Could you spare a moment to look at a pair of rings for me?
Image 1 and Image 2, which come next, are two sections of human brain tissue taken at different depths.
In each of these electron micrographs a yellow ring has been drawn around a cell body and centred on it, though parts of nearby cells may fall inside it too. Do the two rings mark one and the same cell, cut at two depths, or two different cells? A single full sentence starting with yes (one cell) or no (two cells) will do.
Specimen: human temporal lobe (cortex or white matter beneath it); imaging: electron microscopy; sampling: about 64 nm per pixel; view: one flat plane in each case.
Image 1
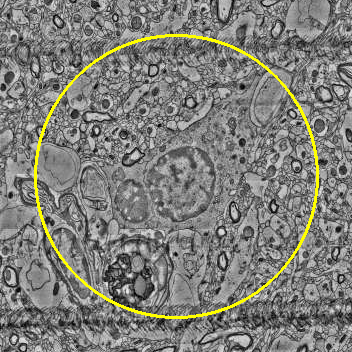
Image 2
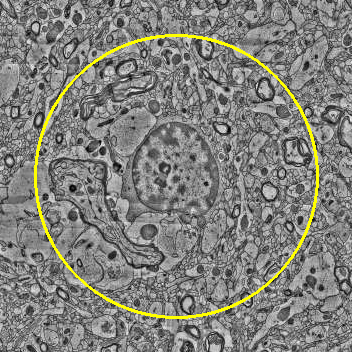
No, it is two different cells that the rings mark.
